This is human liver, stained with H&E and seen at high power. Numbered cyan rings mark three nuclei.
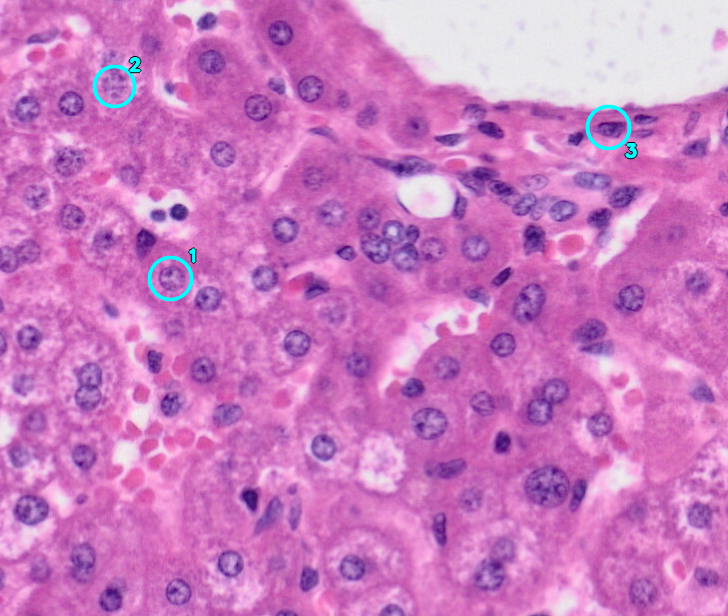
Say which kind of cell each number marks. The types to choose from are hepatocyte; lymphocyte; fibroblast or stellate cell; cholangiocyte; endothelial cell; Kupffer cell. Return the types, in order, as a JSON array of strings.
["hepatocyte", "hepatocyte", "fibroblast or stellate cell"]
